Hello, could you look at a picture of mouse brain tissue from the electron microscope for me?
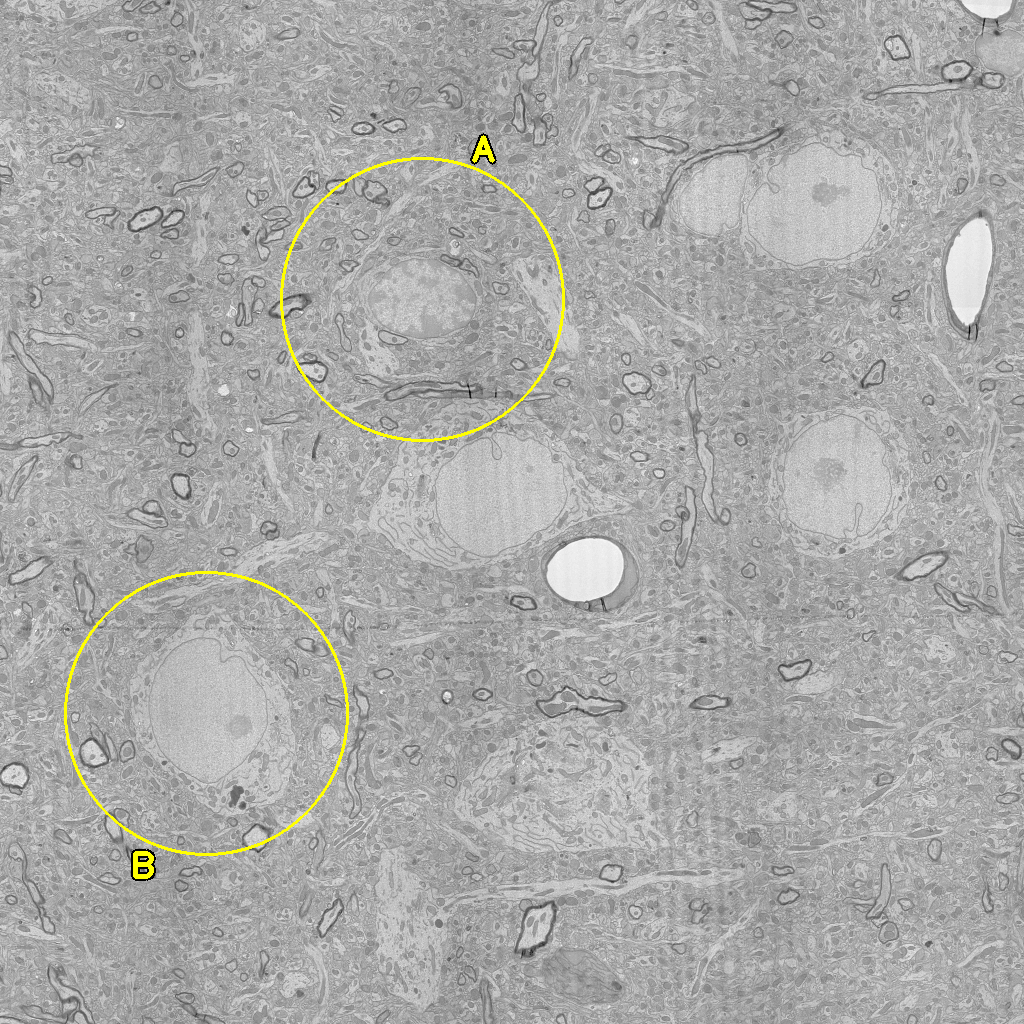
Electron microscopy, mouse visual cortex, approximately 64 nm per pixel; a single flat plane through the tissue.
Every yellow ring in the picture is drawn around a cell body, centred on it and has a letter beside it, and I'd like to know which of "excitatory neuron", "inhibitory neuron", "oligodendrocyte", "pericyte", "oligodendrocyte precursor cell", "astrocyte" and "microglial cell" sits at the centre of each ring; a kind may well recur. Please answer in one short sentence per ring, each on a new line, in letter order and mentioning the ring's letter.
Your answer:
The cell sitting at the centre of ring A is an oligodendrocyte.
The cell sitting at the centre of ring B is an excitatory neuron.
